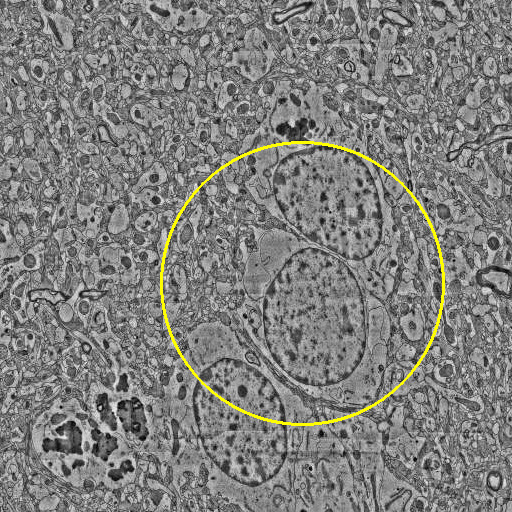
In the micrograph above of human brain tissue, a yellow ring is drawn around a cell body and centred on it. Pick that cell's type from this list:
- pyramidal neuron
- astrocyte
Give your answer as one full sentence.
Going by the list, an astrocyte is the cell on which the yellow ring is centred.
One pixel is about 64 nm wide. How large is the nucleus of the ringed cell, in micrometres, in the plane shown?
The nucleus appears roughly 9 by 7 micrometres in this plane.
